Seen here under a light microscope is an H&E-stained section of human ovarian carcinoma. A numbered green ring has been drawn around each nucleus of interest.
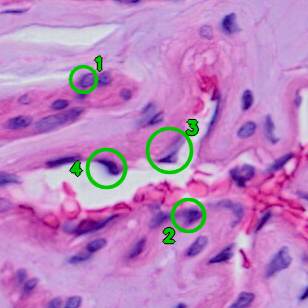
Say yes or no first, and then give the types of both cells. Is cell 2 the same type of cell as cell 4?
Yes, both are endothelial cells.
